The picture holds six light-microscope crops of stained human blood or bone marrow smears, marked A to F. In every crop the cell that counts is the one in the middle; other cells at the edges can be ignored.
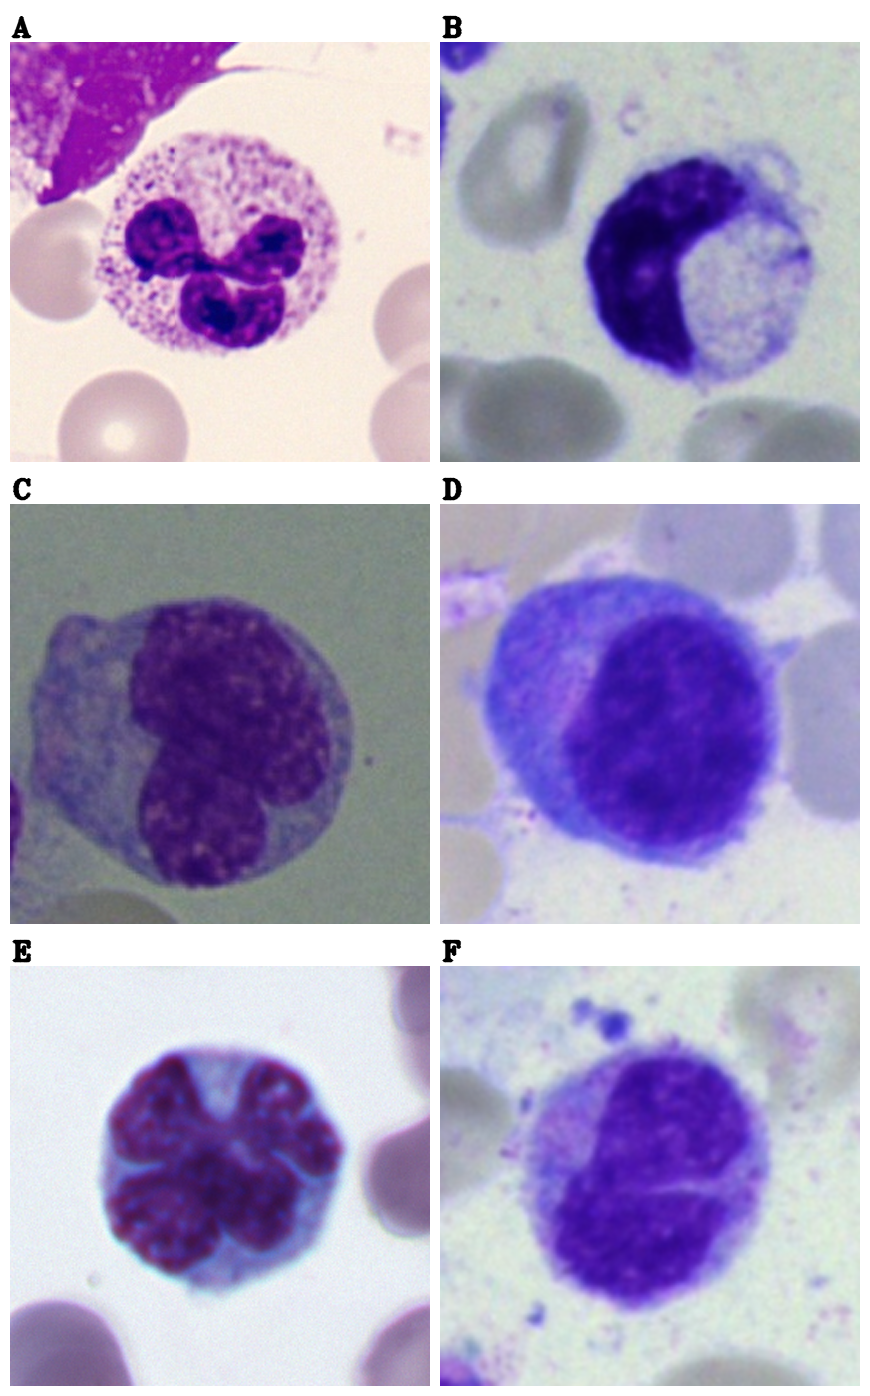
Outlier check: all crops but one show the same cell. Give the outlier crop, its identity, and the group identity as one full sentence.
Crop A differs: it is a segmented neutrophil, and all the other crops show monocytes.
